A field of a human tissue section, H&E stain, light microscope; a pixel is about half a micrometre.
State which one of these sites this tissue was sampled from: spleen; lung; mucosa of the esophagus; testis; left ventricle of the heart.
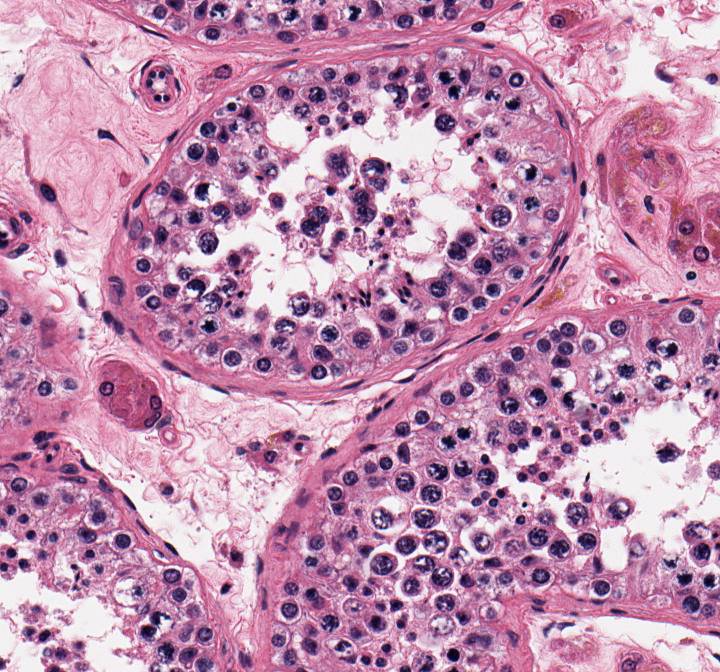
testis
